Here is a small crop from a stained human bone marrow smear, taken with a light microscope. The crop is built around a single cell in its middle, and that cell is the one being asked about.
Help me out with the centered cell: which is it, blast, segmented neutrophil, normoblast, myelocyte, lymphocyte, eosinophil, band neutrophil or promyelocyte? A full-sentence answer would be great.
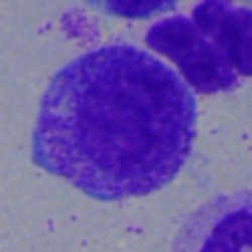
The cell positioned in the middle of the field is a myelocyte.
